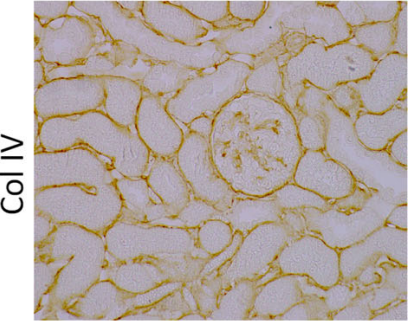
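This section of normal kidney cortex shows closely packed tubules in cross and oblique section around a single glomerulus. Each tubule is outlined by a thin, even brown line at its basement membrane, while the tubule epithelium itself stays pale. The spaces between tubules are narrow, with little stained material.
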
